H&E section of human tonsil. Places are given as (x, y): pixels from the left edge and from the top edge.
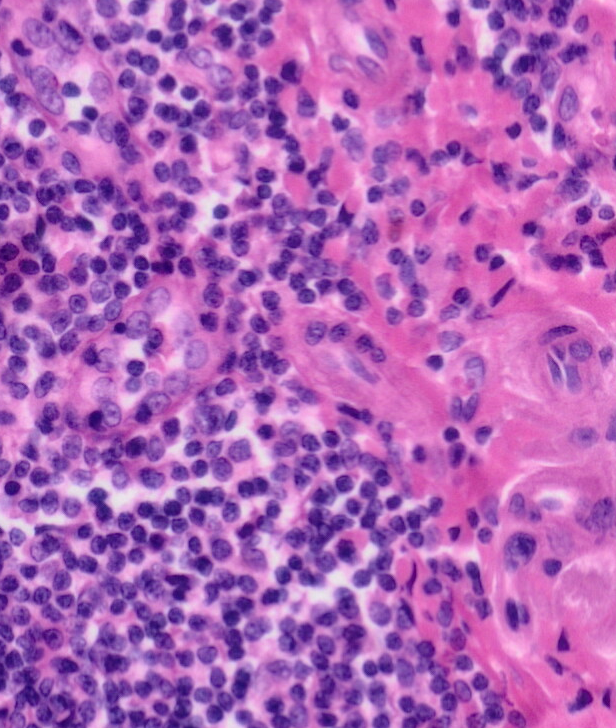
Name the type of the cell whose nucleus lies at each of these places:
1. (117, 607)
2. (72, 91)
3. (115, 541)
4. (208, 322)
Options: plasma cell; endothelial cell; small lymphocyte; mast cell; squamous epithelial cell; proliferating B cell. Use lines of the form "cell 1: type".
cell 1: small lymphocyte
cell 2: endothelial cell
cell 3: small lymphocyte
cell 4: endothelial cell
